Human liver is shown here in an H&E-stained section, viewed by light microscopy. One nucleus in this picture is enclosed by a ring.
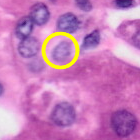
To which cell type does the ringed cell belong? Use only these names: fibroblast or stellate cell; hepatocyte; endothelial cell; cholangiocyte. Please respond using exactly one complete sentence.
In this tissue sample, the ringed cell is a cholangiocyte.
